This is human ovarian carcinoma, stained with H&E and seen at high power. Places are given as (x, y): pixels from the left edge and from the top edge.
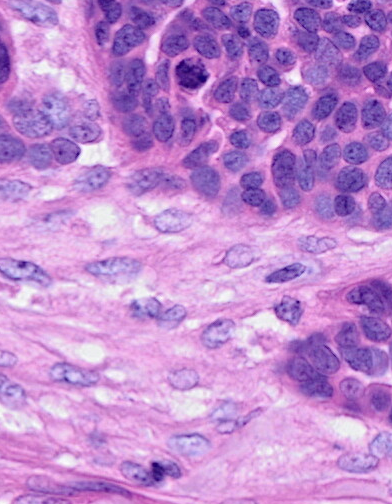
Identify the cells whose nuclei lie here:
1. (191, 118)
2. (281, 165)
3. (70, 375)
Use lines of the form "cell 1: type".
cell 1: carcinoma cell
cell 2: carcinoma cell
cell 3: fibroblast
